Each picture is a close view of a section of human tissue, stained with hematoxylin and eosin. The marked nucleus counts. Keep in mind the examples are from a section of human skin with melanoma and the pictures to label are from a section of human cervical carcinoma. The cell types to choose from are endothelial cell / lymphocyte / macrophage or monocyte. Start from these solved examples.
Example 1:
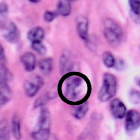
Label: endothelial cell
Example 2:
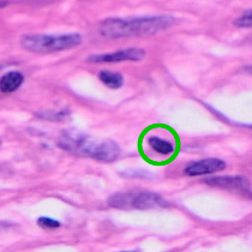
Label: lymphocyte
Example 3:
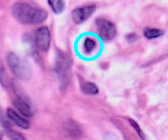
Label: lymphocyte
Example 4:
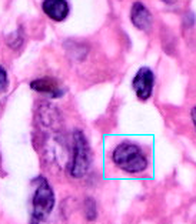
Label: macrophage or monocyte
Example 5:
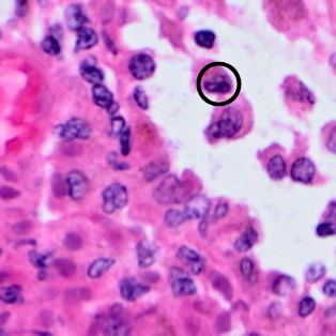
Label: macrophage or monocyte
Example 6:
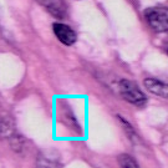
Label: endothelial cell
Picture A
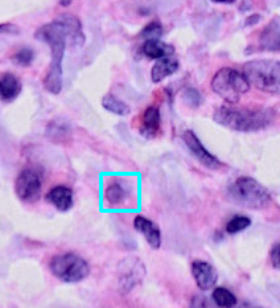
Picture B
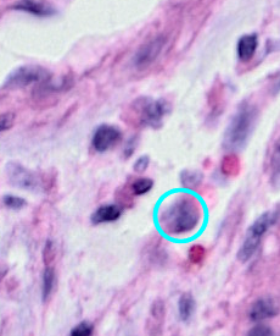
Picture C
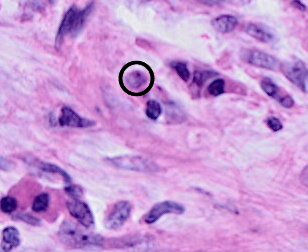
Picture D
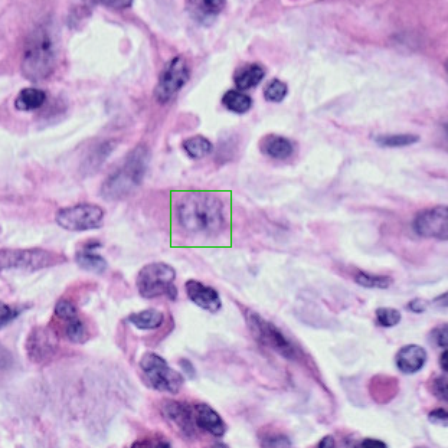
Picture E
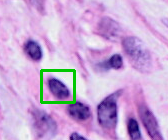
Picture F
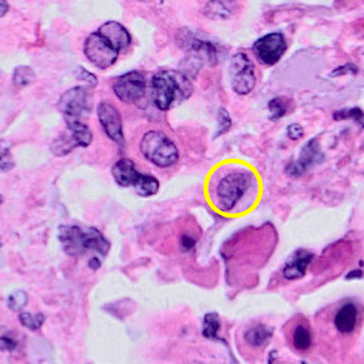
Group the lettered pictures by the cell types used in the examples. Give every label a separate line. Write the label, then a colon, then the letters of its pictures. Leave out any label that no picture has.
endothelial cell: B, D
lymphocyte: E
macrophage or monocyte: A, C, F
